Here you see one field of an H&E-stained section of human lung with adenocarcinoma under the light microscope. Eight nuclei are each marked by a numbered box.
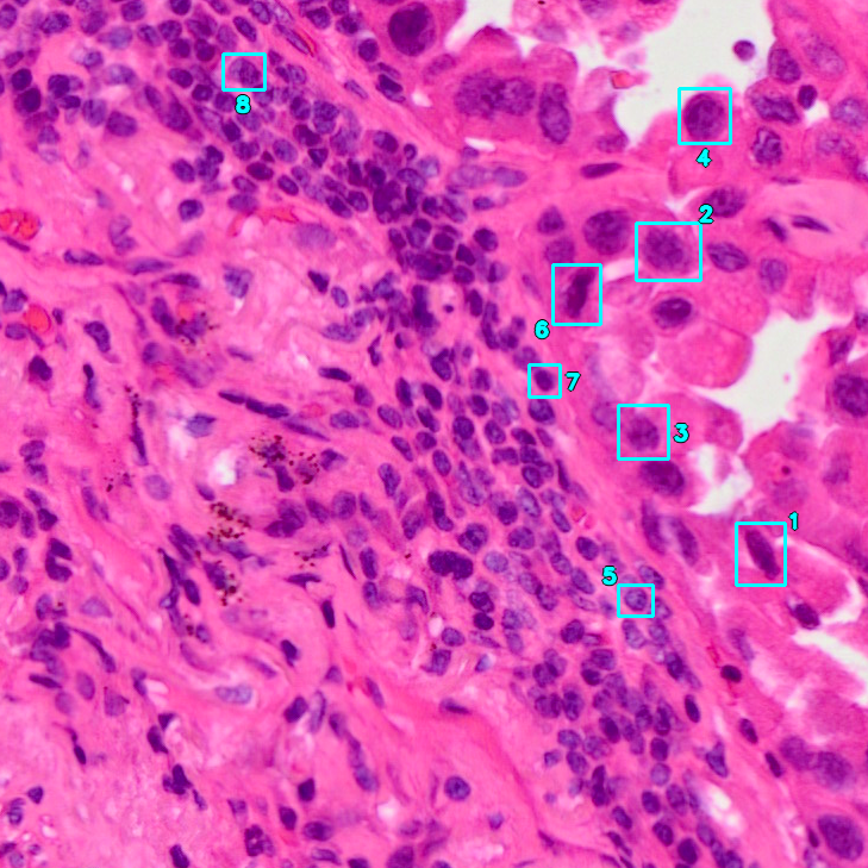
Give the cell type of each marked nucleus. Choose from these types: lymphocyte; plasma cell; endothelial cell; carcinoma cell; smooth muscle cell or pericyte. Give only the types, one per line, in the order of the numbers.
carcinoma cell
carcinoma cell
carcinoma cell
carcinoma cell
lymphocyte
carcinoma cell
lymphocyte
lymphocyte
